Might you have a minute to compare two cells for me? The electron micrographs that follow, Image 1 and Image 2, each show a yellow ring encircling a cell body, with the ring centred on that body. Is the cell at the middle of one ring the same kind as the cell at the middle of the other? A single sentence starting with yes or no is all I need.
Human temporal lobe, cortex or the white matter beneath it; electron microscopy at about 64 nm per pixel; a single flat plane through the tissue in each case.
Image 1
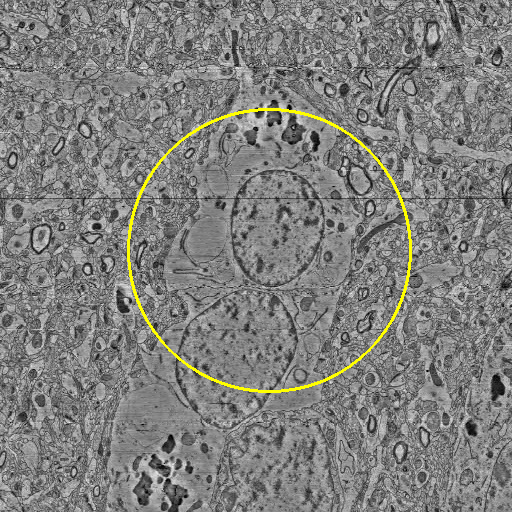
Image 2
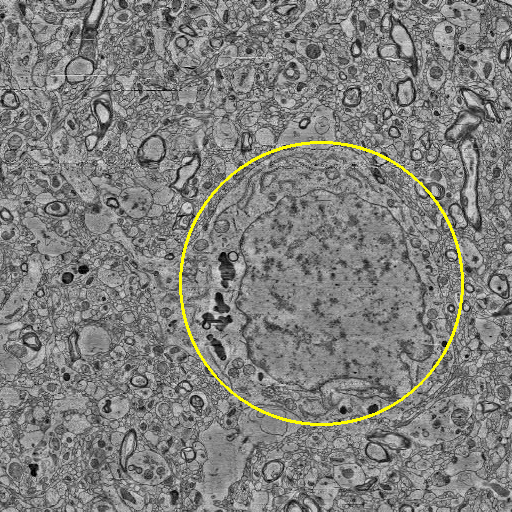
No, the cells in the middle of the two rings are of two separate kinds.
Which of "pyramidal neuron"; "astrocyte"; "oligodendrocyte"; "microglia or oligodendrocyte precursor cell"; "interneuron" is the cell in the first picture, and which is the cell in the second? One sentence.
The two differ: the first cell is an astrocyte and the second is an interneuron.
